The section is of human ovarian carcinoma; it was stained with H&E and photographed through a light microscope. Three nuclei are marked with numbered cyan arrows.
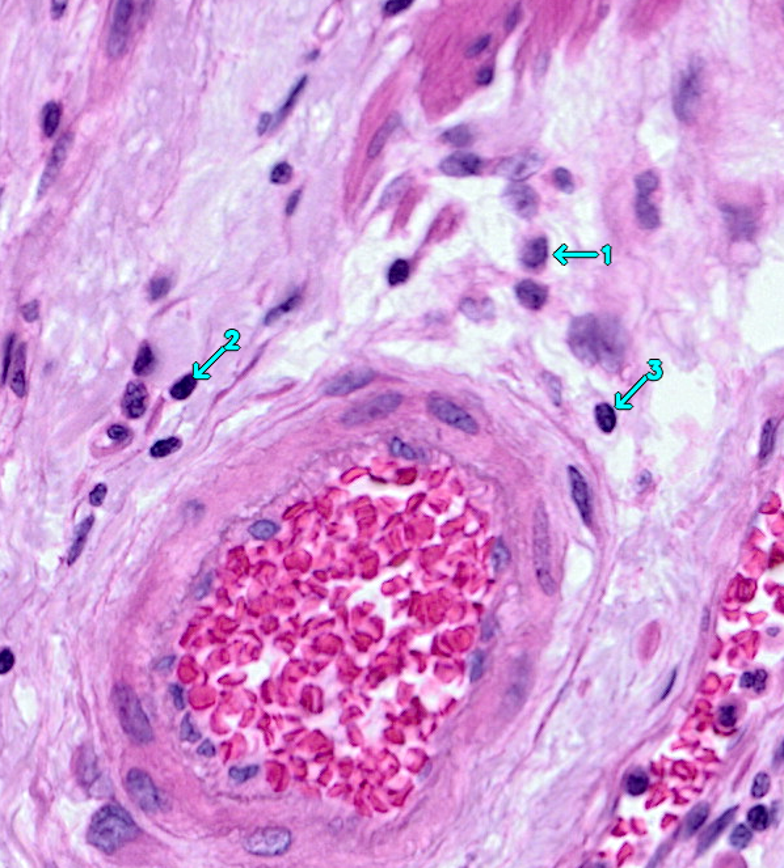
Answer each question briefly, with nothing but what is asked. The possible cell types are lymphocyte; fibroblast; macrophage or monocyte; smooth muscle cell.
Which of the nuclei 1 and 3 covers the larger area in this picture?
1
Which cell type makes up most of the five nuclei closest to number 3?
fibroblast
